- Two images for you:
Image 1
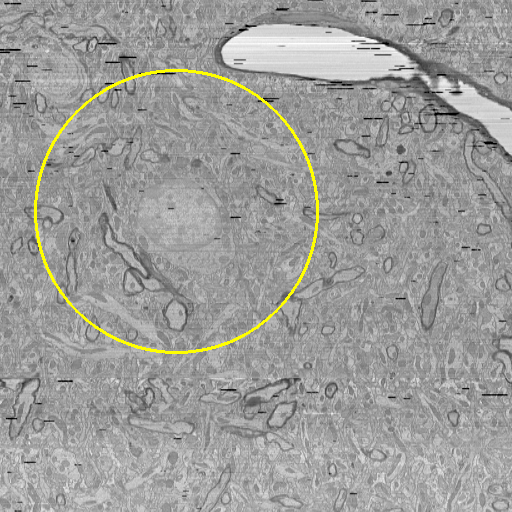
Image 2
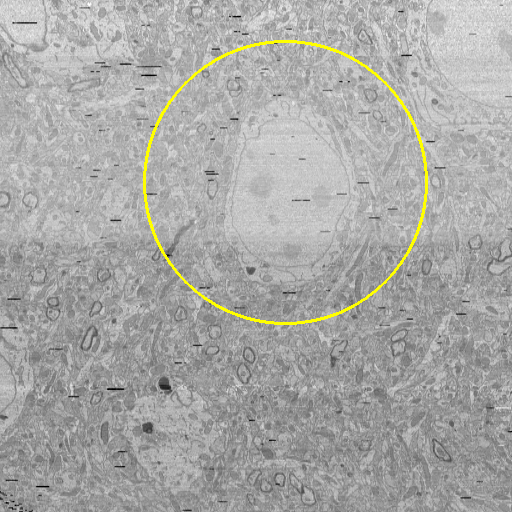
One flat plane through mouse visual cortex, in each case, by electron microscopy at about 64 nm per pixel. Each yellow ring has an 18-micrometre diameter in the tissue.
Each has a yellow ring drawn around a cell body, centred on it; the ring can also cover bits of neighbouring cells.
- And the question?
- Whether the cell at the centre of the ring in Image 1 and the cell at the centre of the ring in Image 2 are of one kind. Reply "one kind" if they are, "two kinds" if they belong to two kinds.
two kinds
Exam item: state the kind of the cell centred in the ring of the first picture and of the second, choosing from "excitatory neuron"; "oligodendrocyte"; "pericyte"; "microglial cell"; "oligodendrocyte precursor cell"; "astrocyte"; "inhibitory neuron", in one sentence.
The first picture shows an oligodendrocyte at the ring centre and the second shows an excitatory neuron.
